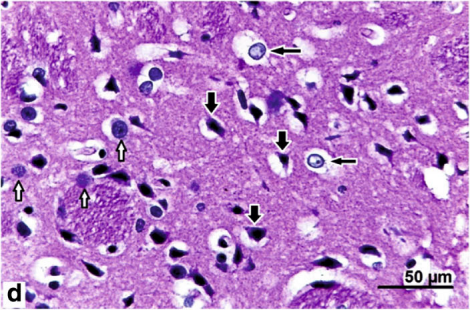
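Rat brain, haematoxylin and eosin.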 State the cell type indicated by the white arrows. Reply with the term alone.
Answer: intact neurons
